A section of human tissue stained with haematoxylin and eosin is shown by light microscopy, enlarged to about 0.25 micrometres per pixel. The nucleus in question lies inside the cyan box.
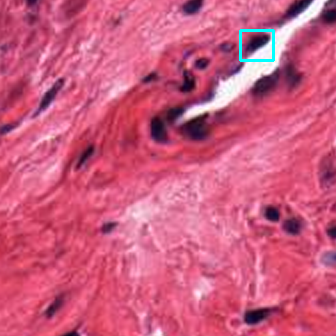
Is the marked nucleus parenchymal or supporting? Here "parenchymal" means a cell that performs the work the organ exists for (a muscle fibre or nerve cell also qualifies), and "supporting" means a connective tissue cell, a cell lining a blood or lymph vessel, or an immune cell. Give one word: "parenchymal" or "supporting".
supporting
